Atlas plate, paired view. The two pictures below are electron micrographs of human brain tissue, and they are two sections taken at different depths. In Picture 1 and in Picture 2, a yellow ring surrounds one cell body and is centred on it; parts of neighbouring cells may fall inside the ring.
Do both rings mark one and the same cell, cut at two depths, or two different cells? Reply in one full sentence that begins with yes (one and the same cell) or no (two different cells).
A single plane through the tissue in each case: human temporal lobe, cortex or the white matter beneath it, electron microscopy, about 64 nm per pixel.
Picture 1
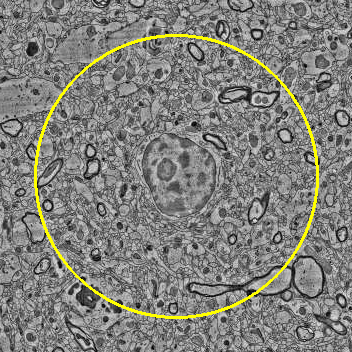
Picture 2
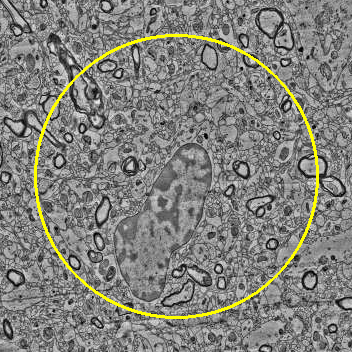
No, the two rings are not on the same cell.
